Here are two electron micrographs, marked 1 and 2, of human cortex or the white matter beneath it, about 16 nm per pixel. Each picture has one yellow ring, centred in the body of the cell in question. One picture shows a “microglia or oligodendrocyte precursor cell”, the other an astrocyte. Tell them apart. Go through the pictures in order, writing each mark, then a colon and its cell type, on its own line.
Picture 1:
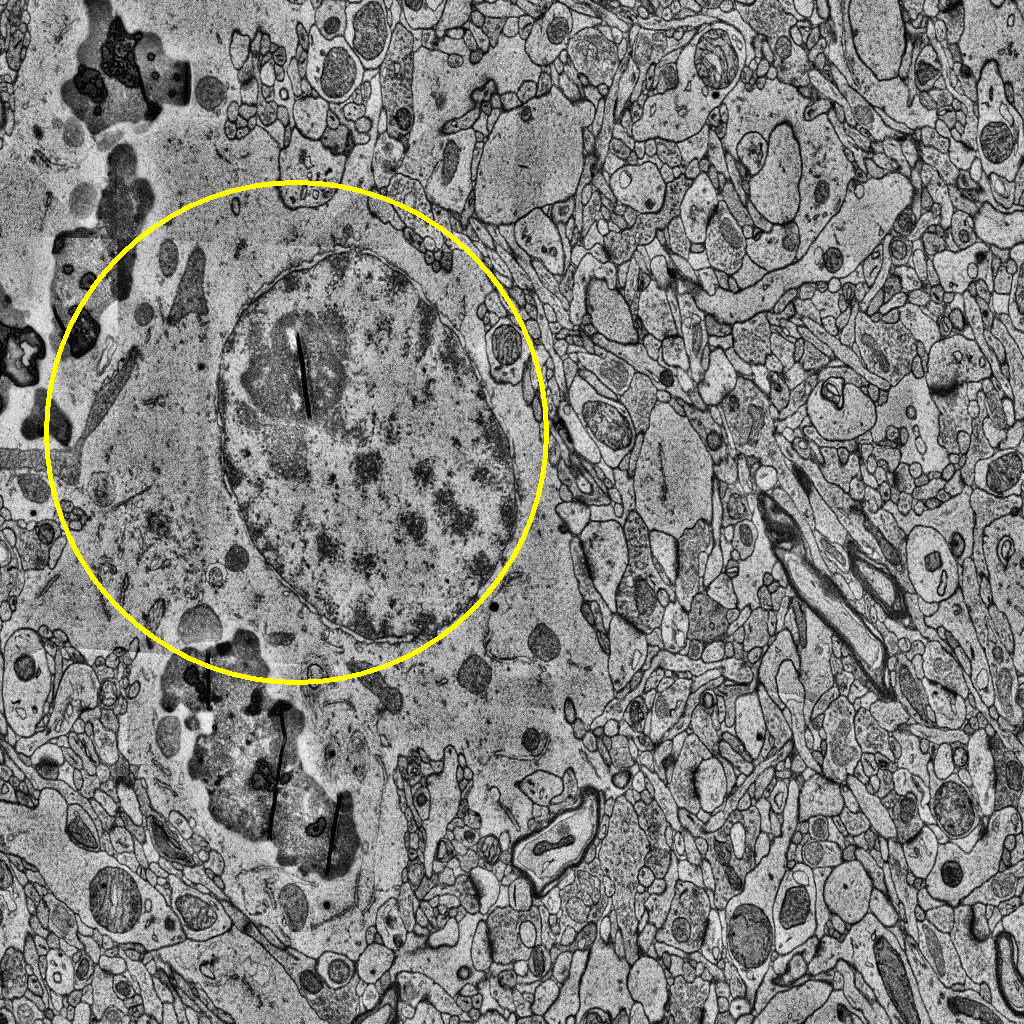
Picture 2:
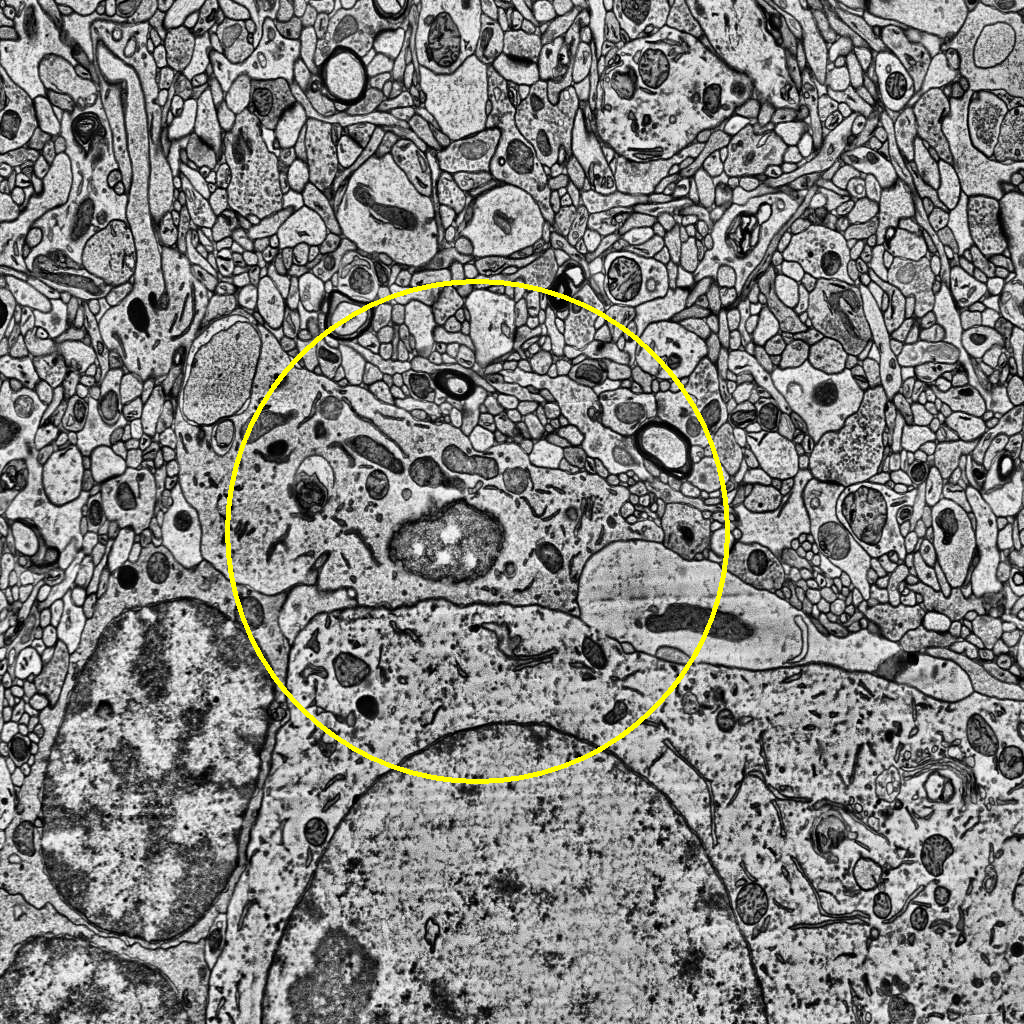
1: astrocyte
2: microglia or oligodendrocyte precursor cell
